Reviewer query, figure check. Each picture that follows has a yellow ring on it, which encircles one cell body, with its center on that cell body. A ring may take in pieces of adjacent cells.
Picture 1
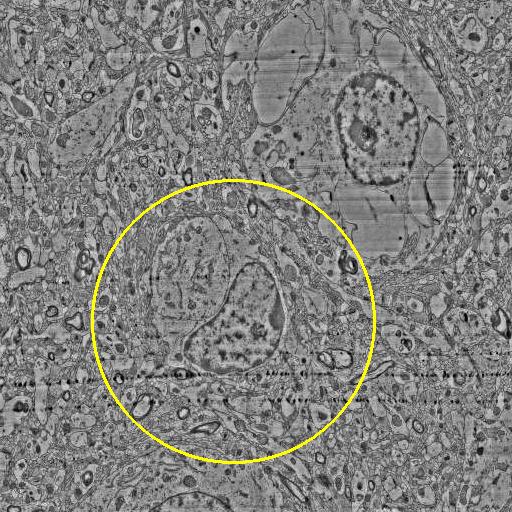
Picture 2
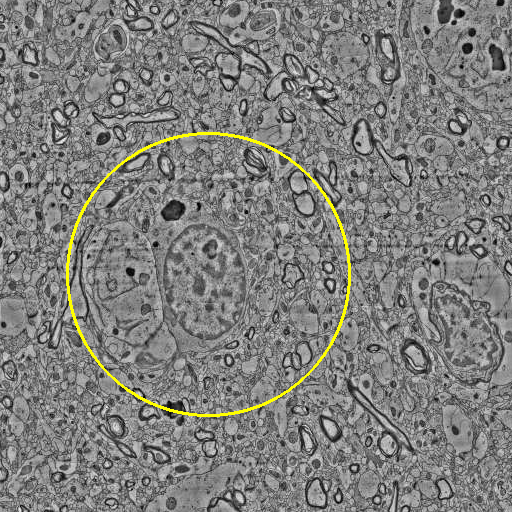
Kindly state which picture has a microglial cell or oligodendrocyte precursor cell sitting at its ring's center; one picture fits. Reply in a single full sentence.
In picture 1, the cell at the center of the ring is the requested one.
